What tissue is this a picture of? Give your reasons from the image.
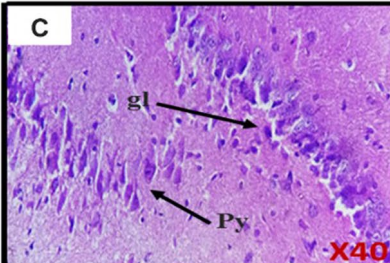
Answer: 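Hippocampus. A dense band of closely packed, darkly purple-stained neuronal cell bodies runs across the field. Pale pink fibrous neuropil lies beside the band.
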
